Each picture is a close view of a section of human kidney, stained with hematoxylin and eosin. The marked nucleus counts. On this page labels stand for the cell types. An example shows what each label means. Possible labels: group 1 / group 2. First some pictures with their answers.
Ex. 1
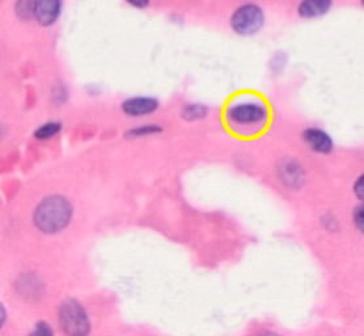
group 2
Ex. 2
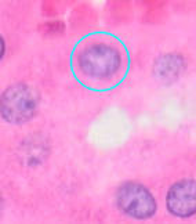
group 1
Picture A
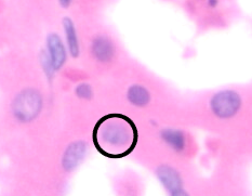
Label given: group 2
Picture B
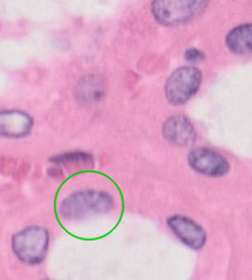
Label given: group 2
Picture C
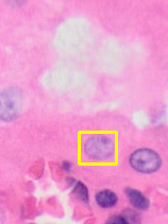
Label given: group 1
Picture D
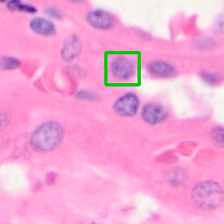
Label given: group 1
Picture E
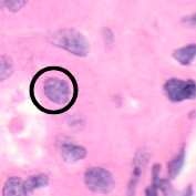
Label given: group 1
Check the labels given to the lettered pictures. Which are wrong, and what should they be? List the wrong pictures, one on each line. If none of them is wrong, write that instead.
D should be group 2, not group 1
E should be group 2, not group 1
